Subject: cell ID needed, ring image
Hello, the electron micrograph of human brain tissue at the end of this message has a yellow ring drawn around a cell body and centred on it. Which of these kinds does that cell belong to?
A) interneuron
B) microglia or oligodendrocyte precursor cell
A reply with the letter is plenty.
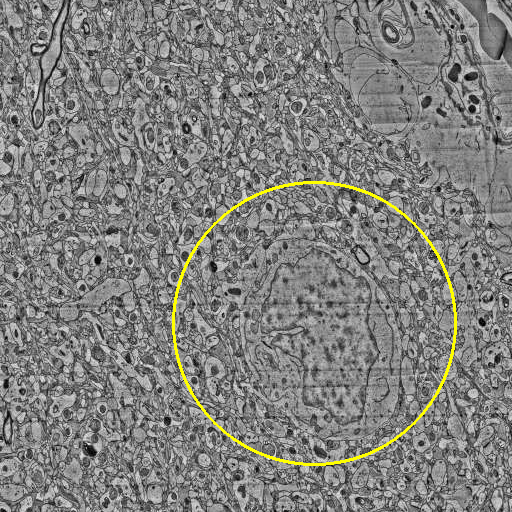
A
